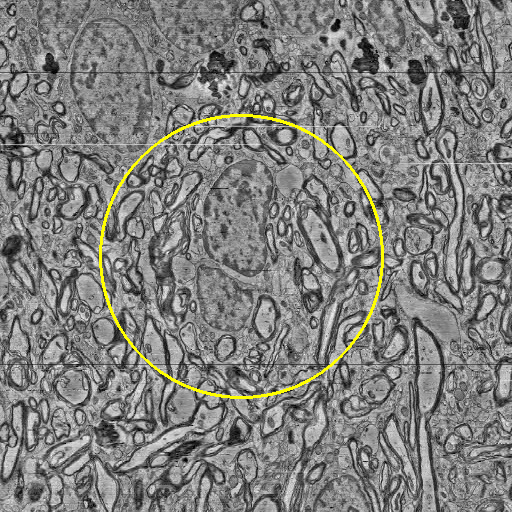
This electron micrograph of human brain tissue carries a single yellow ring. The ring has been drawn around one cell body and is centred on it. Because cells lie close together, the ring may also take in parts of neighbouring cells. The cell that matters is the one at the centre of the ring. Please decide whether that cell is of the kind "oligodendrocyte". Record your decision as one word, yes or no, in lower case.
no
